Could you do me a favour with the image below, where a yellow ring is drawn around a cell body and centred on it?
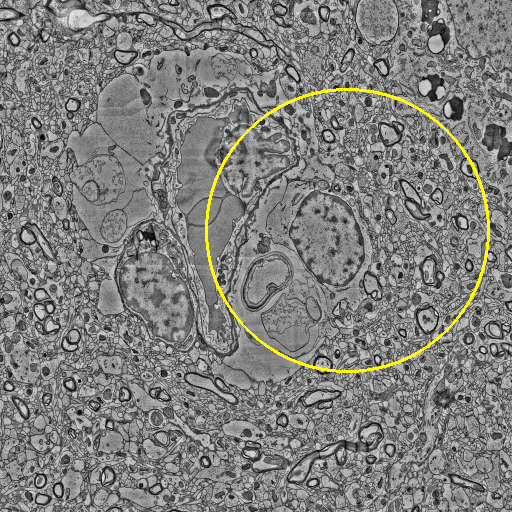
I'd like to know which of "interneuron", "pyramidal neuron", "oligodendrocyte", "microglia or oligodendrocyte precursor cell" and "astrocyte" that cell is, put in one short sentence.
The cell at the ring's centre is a microglial cell or oligodendrocyte precursor cell.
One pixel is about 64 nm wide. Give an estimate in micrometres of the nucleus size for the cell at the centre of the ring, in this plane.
Roughly 6 by 4 micrometres is the size of the nucleus in this plane.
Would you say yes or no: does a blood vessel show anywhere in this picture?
Yes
